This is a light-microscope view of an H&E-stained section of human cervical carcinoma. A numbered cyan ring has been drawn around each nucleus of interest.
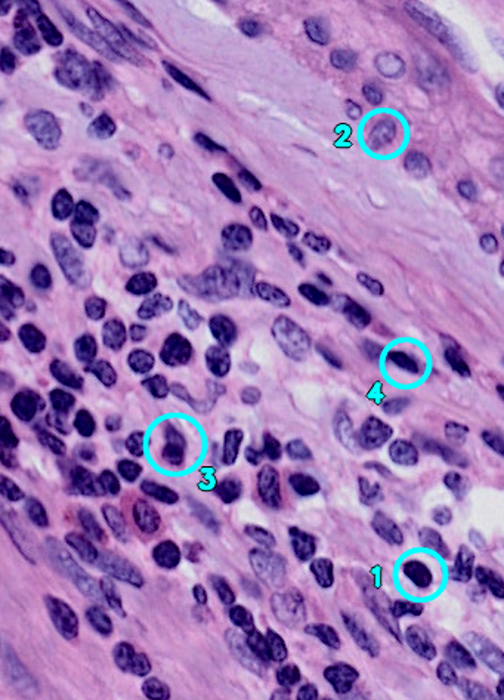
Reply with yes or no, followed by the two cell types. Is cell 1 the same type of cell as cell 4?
Yes, cells 1 and 4 both qualify as lymphocytes.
